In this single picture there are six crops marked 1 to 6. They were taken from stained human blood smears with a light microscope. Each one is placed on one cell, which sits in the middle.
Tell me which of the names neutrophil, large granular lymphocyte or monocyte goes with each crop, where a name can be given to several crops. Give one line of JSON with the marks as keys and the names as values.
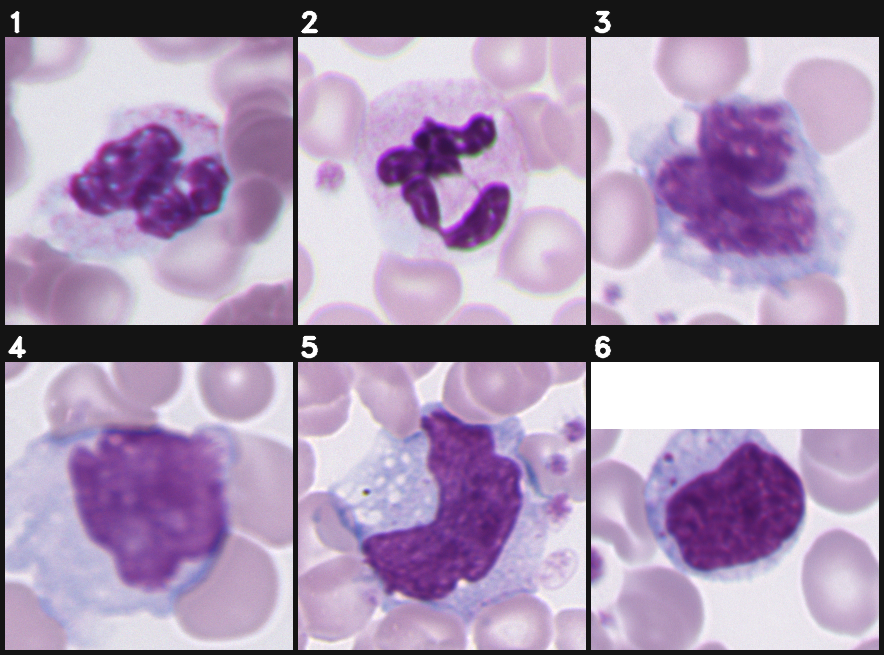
{"1": "neutrophil", "2": "neutrophil", "3": "monocyte", "4": "monocyte", "5": "monocyte", "6": "large granular lymphocyte"}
